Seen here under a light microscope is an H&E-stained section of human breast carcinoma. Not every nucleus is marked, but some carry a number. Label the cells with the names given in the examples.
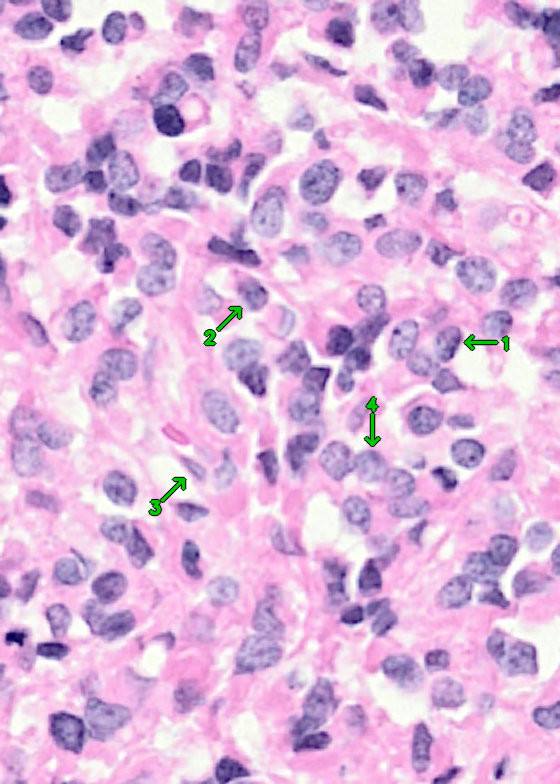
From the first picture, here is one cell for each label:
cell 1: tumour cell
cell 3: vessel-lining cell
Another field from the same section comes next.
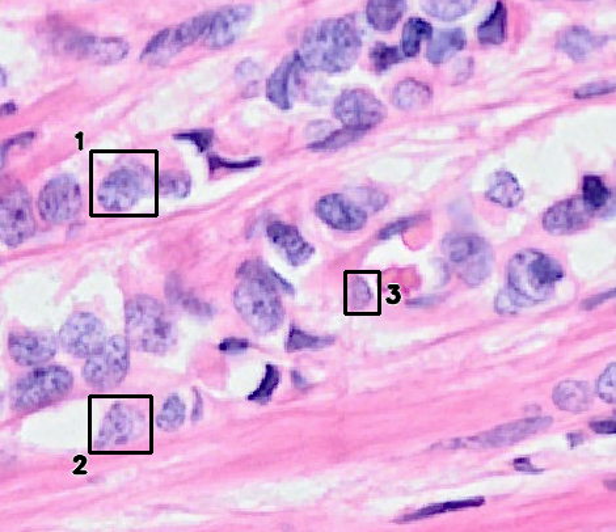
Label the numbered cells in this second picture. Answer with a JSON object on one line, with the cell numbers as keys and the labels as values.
{"1": "tumour cell", "2": "tumour cell", "3": "vessel-lining cell"}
